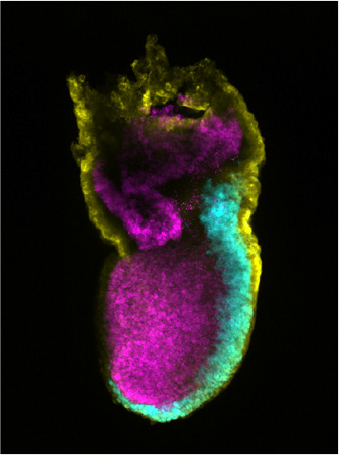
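This is a whole elongated egg-cylinder embryo, with a large rounded distal cup of magenta-stained epiblast tissue and a proximal portion covered by ragged yellow-stained outer tissue. A broad cyan band of cells runs along one side of the cylinder from its middle down to the distal tip, lying beside the magenta epiblast. The yellow layer forms a thin rim around the outside, thickest at the proximal end.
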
